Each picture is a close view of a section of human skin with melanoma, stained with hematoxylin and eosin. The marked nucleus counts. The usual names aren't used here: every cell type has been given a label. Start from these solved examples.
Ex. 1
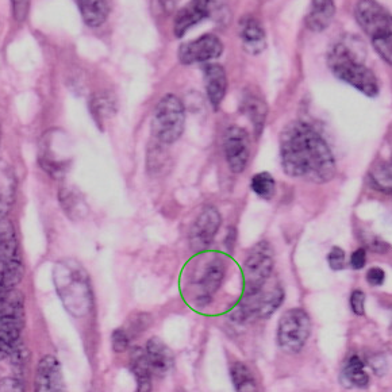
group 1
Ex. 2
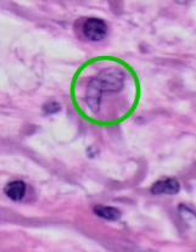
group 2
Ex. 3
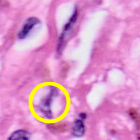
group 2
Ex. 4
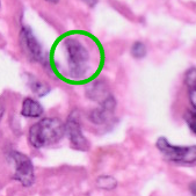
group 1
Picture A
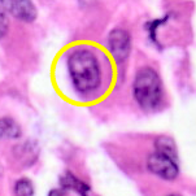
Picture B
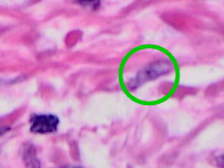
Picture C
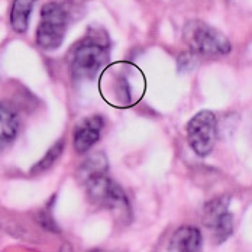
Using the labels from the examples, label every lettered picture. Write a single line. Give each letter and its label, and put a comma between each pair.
A group 1, B group 2, C group 1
